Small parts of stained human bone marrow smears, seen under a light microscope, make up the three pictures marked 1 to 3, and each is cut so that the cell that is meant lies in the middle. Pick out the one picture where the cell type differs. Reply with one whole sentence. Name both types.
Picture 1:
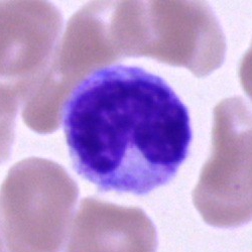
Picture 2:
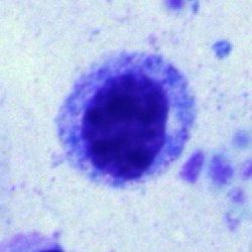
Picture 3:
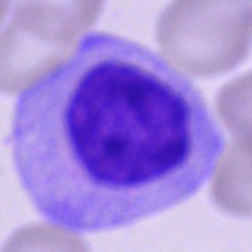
All pictures except 2 show metamyelocytes; picture 2 shows a myelocyte.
